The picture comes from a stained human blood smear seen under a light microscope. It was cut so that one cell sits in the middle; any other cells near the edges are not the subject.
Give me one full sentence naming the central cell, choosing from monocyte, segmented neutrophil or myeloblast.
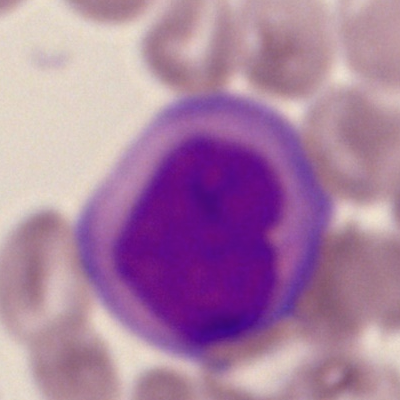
The cell centered in this field of view is a myeloblast.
